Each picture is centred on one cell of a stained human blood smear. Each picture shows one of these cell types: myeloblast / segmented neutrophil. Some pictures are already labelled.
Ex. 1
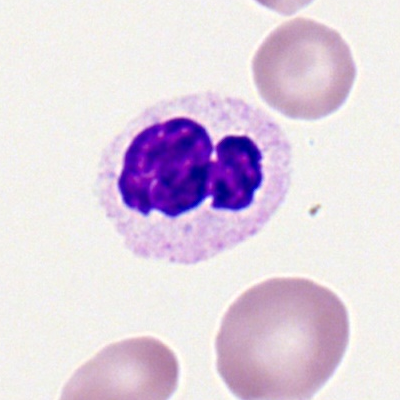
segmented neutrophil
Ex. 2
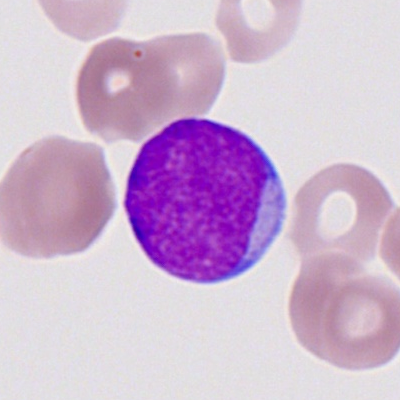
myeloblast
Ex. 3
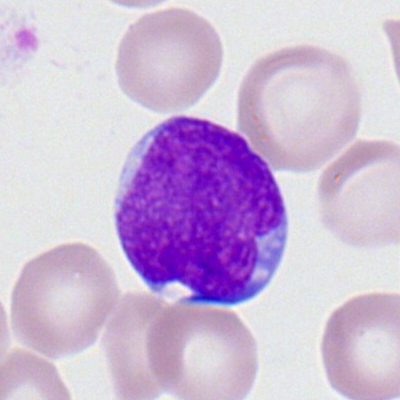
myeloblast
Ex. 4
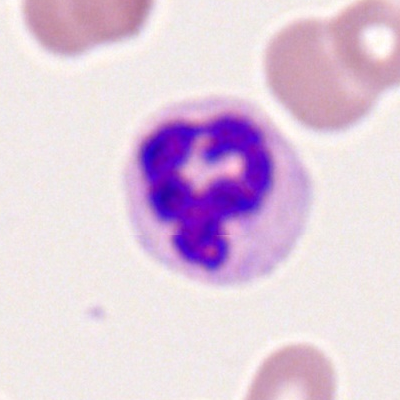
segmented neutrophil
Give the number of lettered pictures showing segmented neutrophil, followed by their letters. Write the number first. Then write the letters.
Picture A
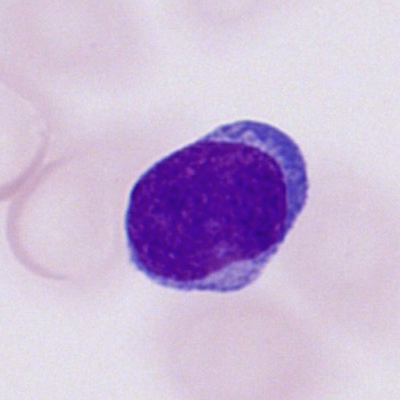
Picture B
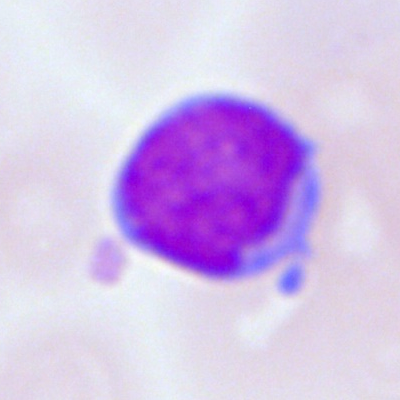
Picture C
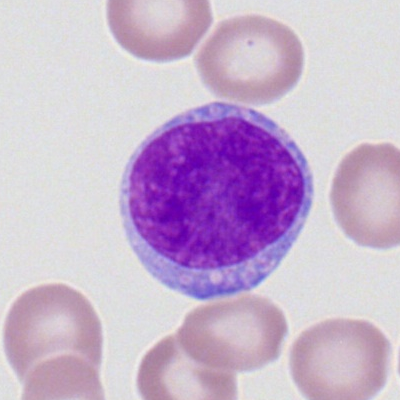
0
